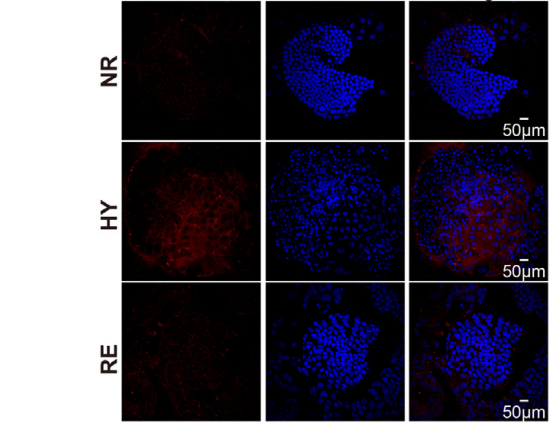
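Each row shows a rounded cluster of cells in a red channel, a blue channel and their overlay. In the top row the red channel is almost empty. In the middle row a diffuse red glow covers much of the cluster. In the bottom row the red is faint and patchy.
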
